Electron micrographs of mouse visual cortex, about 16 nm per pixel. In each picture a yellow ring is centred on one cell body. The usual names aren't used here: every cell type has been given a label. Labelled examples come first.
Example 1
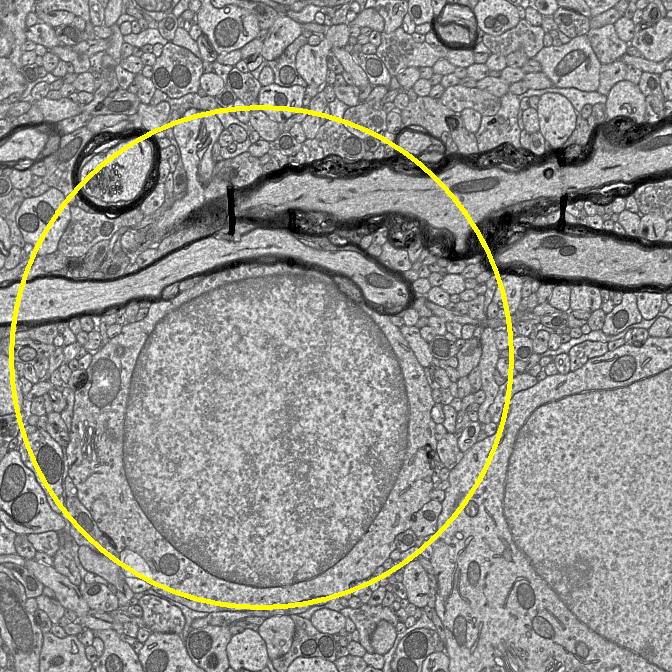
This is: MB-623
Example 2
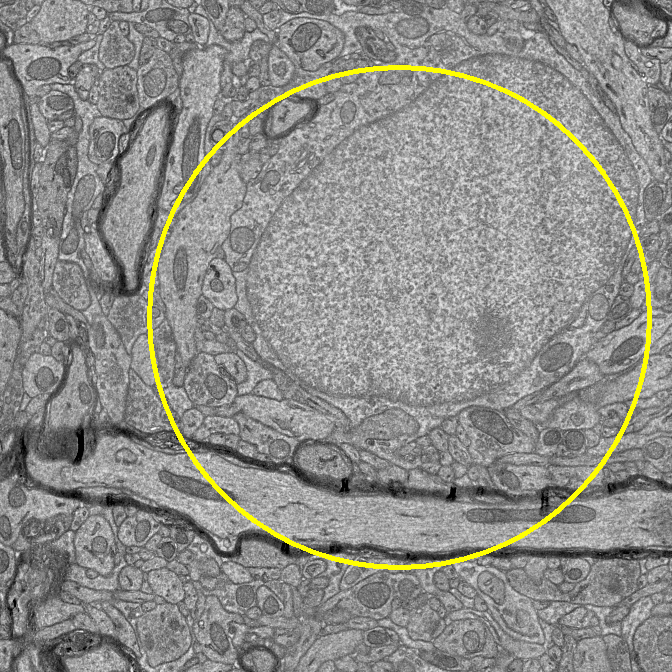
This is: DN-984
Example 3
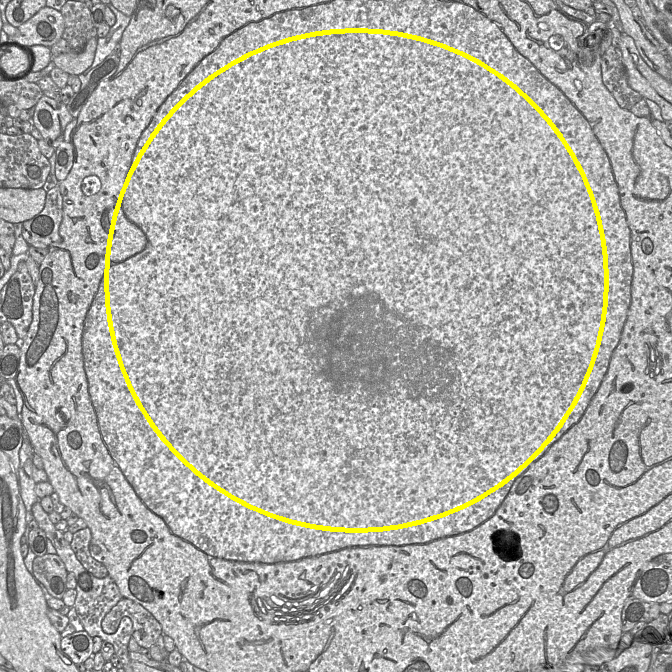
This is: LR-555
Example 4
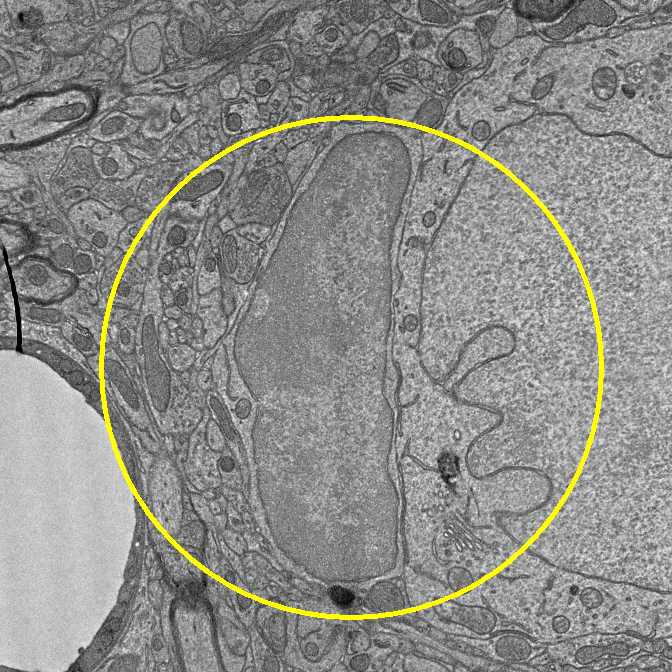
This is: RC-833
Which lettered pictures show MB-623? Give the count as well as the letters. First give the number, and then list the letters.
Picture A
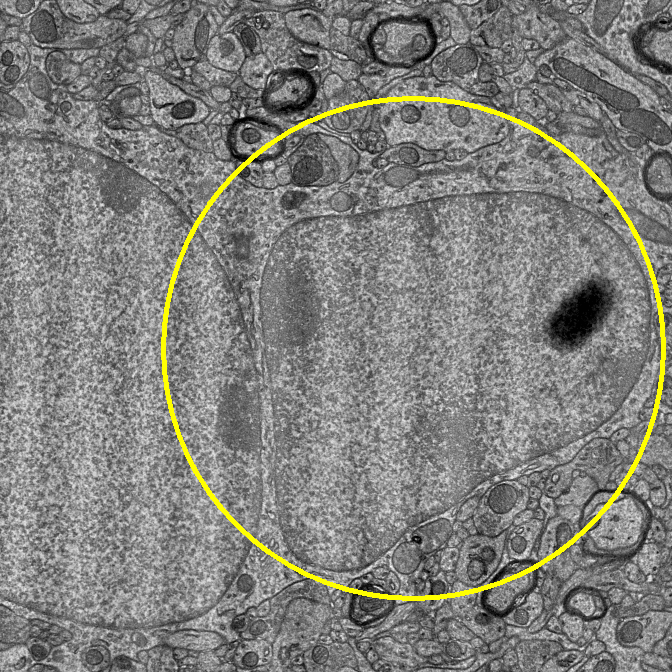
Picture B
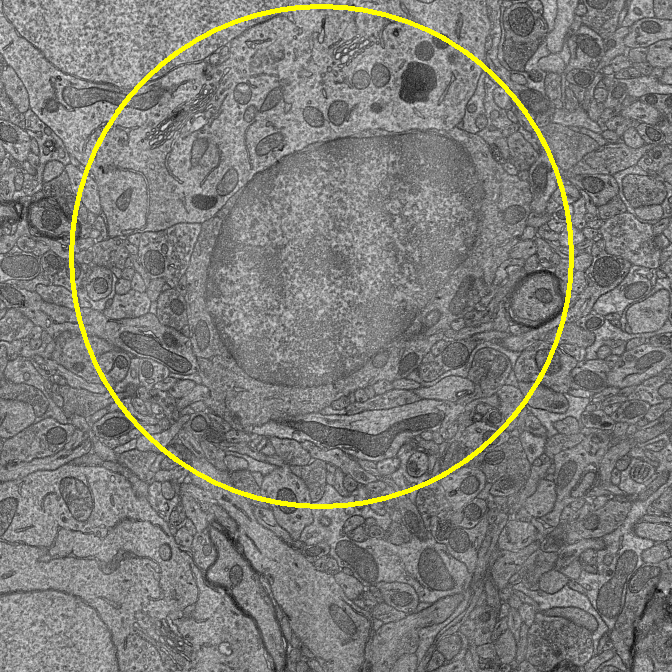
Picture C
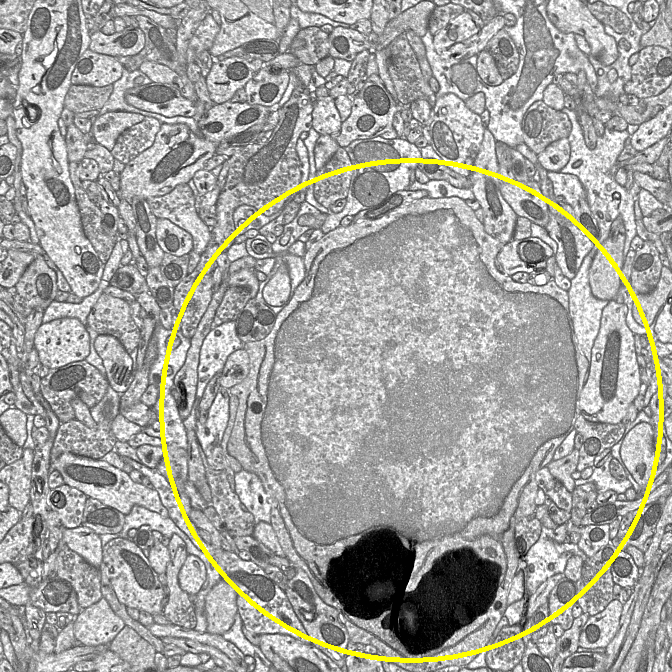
Count: 1 (B)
